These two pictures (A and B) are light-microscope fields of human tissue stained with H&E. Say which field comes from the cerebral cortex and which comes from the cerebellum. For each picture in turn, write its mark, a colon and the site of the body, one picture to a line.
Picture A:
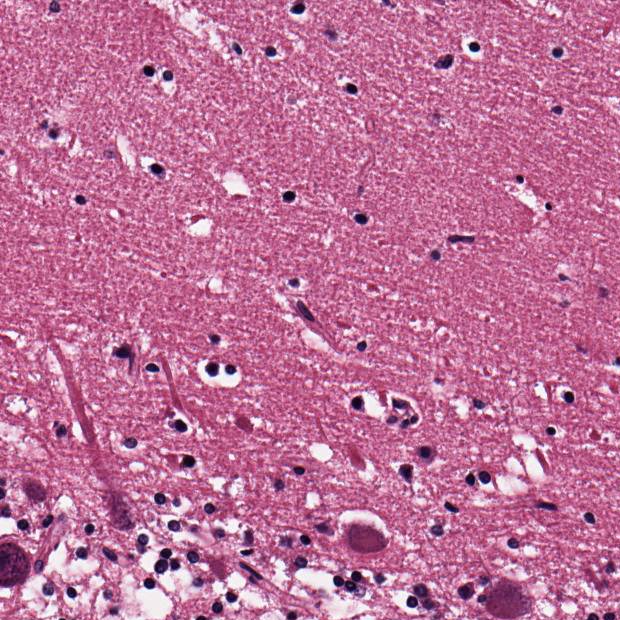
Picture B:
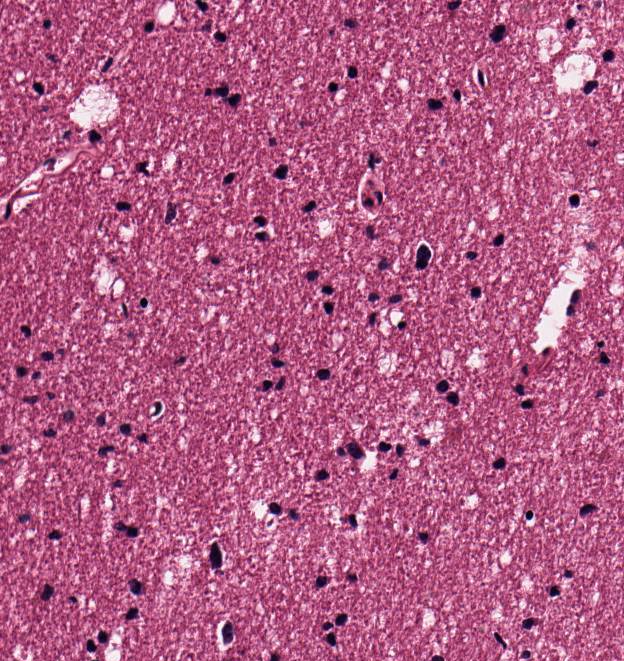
A: cerebellum
B: cerebral cortex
